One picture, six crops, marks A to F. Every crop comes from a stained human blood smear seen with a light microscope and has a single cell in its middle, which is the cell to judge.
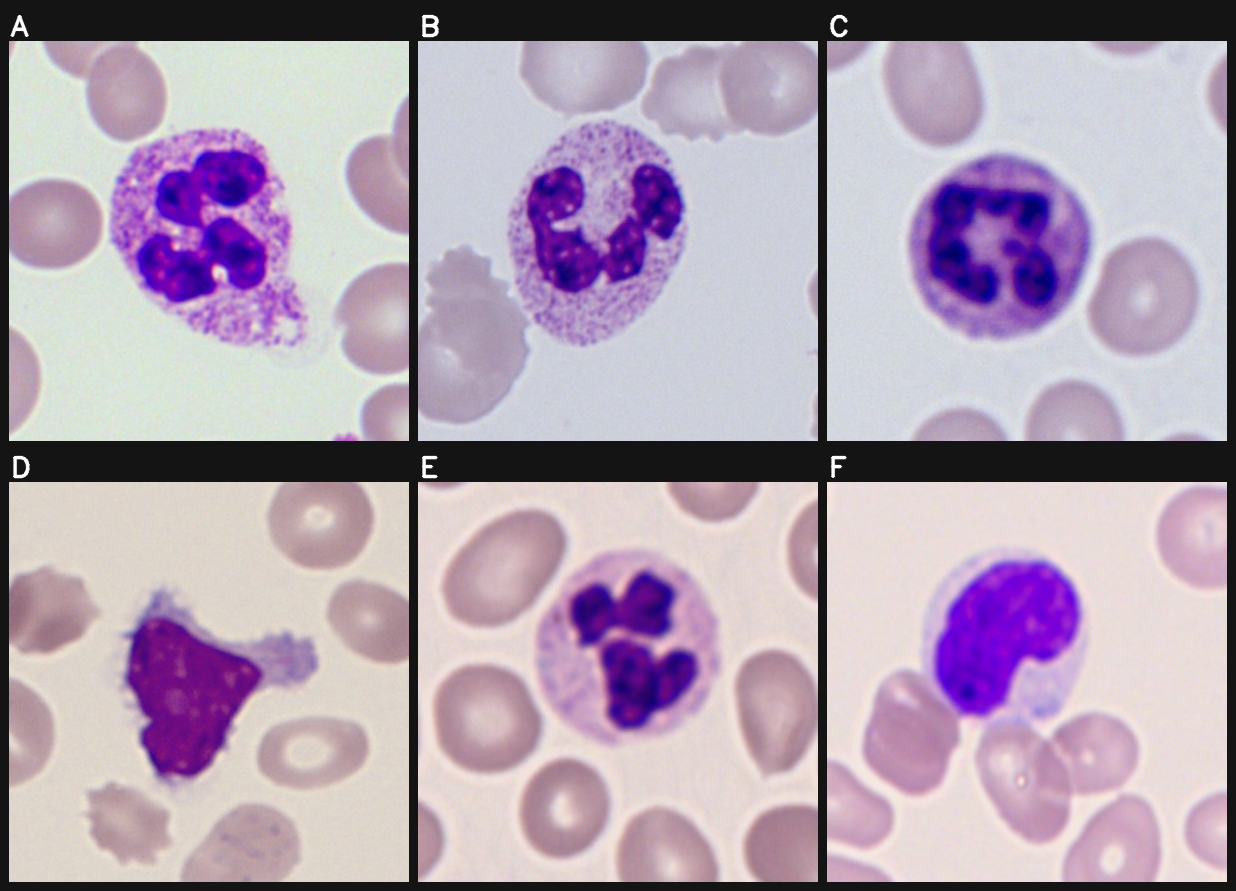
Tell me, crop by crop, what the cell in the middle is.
A: segmented neutrophil
B: segmented neutrophil
C: segmented neutrophil
D: lymphocyte
E: segmented neutrophil
F: lymphocyte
